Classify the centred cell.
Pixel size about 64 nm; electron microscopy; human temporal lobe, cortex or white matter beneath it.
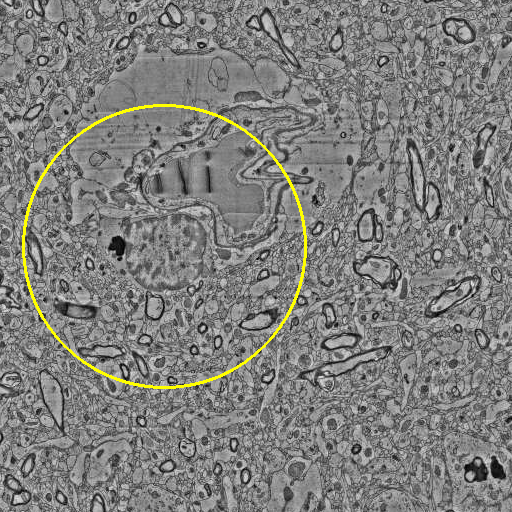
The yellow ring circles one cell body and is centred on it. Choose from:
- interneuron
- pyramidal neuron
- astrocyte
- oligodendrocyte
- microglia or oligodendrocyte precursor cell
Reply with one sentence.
The ring is centred on an oligodendrocyte.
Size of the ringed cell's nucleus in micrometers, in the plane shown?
In this plane the nucleus measures roughly 5 micrometres across.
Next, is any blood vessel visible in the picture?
Yes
